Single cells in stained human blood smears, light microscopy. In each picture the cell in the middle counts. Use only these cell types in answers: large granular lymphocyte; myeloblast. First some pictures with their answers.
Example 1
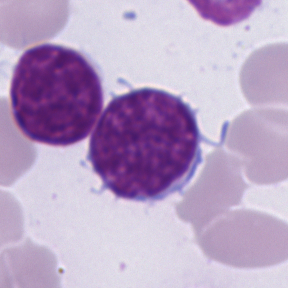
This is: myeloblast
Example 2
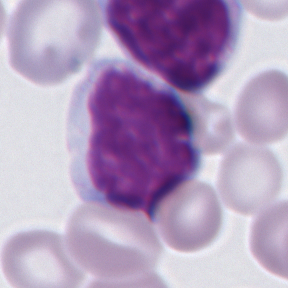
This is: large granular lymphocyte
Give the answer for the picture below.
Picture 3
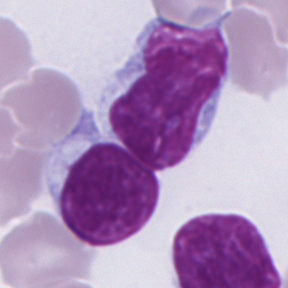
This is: myeloblast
